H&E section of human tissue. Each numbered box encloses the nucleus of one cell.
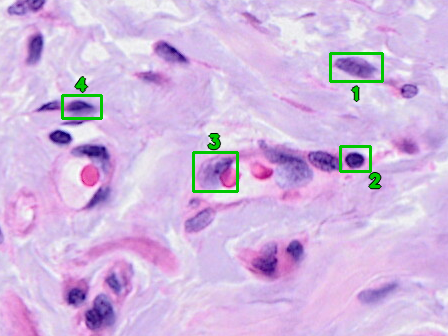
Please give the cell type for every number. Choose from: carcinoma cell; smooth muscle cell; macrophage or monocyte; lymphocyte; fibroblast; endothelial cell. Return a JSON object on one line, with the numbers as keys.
{"1": "fibroblast", "2": "lymphocyte", "3": "endothelial cell", "4": "fibroblast"}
